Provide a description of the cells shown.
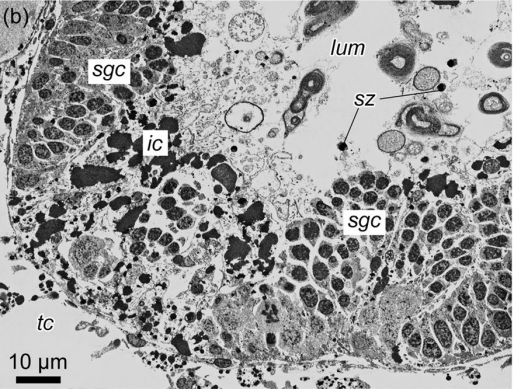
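This is an epithelium lining a cavity, built of rounded groups of many small, tightly packed cells. The cells within each group have large nuclei with clumped dark chromatin, and they are separated by thin pale boundaries. Between the groups lie dense, very dark irregular inclusions. At the upper right the epithelium opens onto a pale cavity, which holds scattered small dark dots and larger round and ring-shaped profiles. This arrangement fits a germinative epithelium of a testis, with its columns of developing germ cells facing the lumen.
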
